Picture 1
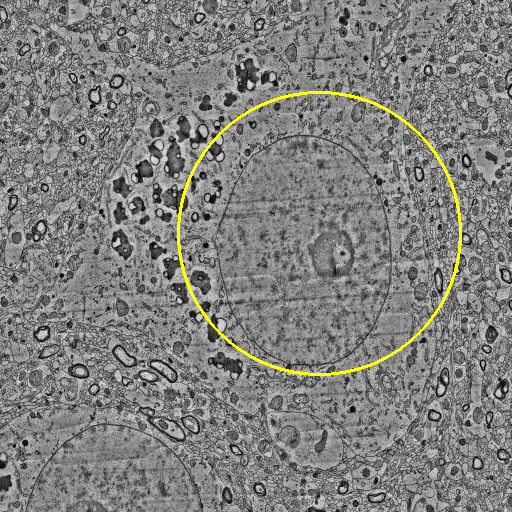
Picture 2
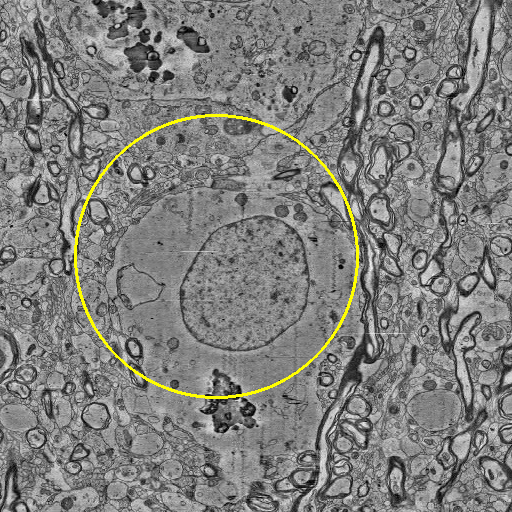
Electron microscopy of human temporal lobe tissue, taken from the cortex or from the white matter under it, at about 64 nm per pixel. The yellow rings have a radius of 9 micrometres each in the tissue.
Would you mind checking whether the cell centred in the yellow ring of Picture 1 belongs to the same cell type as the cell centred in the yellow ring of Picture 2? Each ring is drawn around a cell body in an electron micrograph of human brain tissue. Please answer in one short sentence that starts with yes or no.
No, the two cells are of two types.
